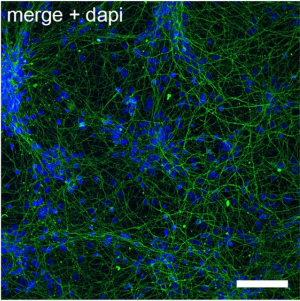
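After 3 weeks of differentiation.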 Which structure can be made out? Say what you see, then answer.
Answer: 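Neuronal network. A dense mesh of thin green fibres covers the whole field. Blue nuclei lie scattered and clustered among the fibres.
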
